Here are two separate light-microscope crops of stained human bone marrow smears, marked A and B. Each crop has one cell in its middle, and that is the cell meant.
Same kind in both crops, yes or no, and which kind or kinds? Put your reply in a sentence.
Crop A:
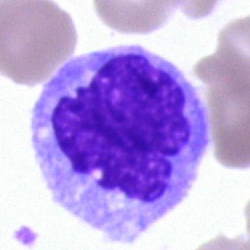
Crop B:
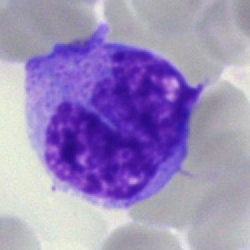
Yes, in the two crops, monocytes are the cells at the centre.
